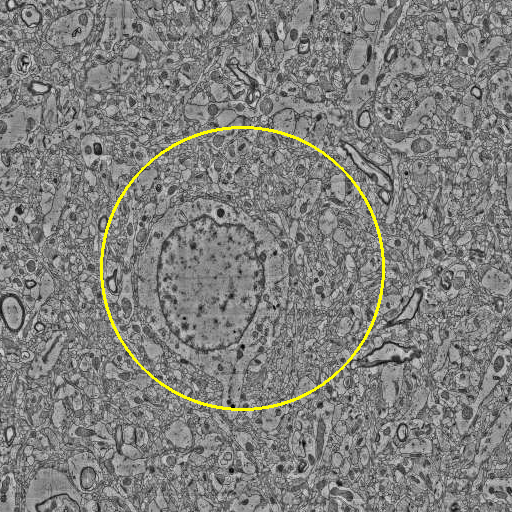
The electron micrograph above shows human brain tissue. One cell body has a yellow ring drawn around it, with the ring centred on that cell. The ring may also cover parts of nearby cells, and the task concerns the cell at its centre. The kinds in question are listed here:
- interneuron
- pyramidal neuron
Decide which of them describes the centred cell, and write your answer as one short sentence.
The centred cell is a pyramidal neuron.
